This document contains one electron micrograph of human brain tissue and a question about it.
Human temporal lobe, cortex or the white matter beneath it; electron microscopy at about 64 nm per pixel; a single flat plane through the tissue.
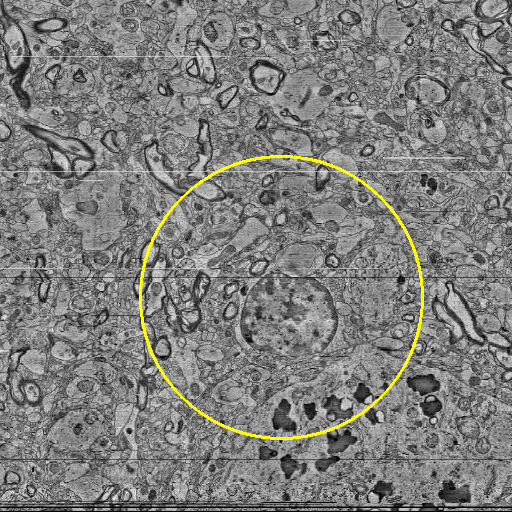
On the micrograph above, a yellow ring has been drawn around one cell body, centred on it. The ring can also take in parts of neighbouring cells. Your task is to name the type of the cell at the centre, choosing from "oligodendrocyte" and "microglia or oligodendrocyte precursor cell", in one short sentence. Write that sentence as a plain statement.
Here the ring is centred on a microglial cell or oligodendrocyte precursor cell.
